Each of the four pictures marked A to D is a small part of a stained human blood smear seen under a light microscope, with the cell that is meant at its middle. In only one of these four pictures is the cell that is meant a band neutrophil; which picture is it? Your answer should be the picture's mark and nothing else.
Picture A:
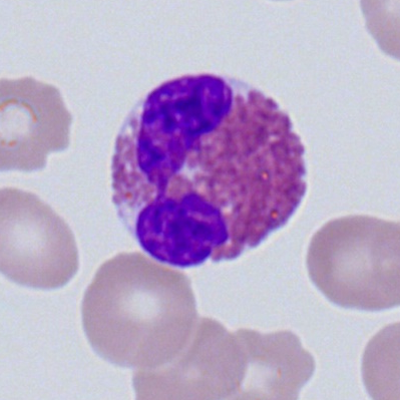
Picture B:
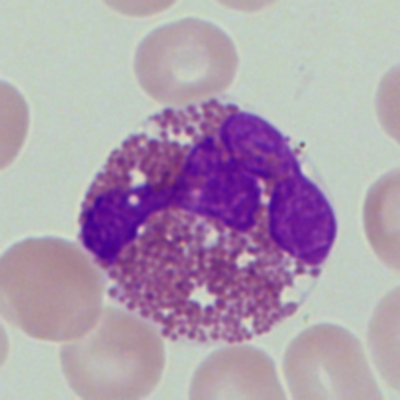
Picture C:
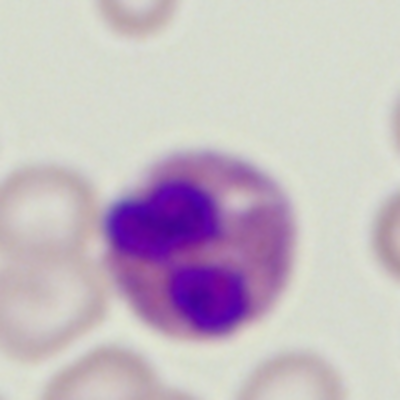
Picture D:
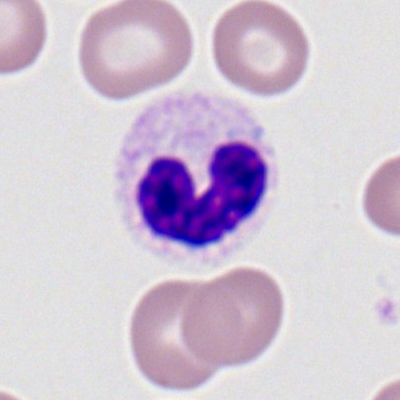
D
